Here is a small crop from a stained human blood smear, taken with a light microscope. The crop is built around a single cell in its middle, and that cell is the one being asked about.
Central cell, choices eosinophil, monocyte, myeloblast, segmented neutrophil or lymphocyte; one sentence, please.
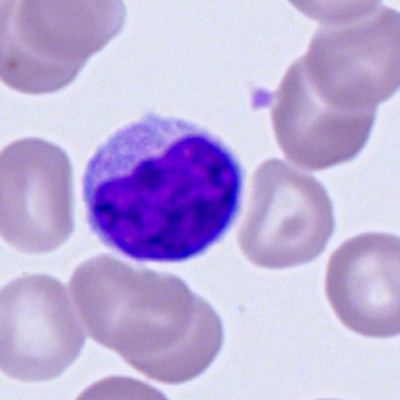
The cell at the heart of this crop is a lymphocyte.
